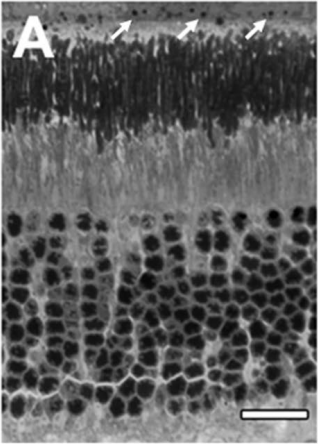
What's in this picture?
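Outer retina with photoreceptor layers in cross section. At the top a thin band of retinal pigment epithelium contains small dark granules. Beneath it lies a broad, densely stained layer of long, parallel, closely packed outer segments, then a paler, finely striated inner segment layer. Below this the outer nuclear layer forms many stacked rows of small, round, tightly packed nuclei with dark, coarsely clumped chromatin and scant surrounding cytoplasm, separated by thin pale borders. The layers are sharply ordered and run parallel to one another.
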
